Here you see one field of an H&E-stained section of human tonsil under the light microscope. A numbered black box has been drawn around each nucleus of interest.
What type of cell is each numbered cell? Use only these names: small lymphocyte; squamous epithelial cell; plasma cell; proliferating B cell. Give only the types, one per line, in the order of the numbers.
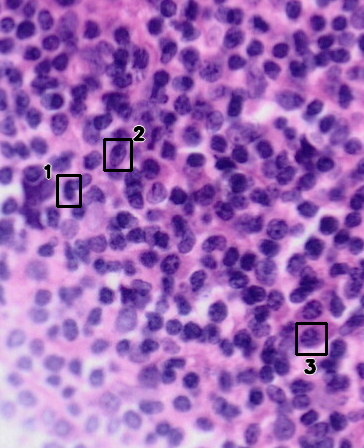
small lymphocyte
small lymphocyte
plasma cell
